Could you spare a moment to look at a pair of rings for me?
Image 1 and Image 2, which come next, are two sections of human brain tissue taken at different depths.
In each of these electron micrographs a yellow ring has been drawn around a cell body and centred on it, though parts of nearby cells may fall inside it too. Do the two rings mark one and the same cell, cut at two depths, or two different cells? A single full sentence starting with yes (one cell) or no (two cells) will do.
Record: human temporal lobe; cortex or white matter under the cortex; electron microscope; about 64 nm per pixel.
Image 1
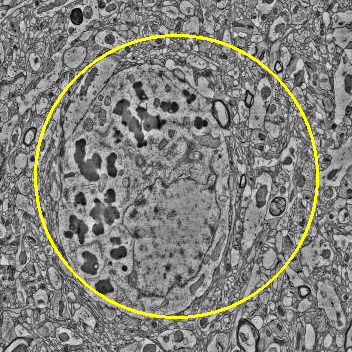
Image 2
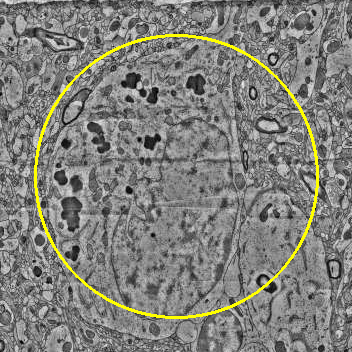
Yes, one cell accounts for both of the yellow rings.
